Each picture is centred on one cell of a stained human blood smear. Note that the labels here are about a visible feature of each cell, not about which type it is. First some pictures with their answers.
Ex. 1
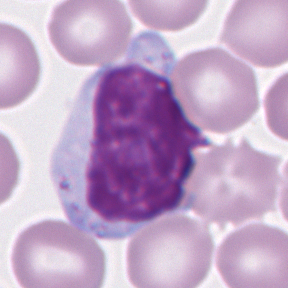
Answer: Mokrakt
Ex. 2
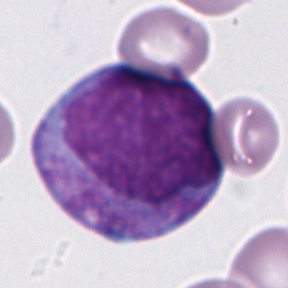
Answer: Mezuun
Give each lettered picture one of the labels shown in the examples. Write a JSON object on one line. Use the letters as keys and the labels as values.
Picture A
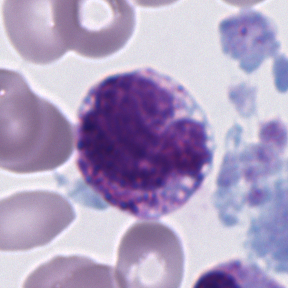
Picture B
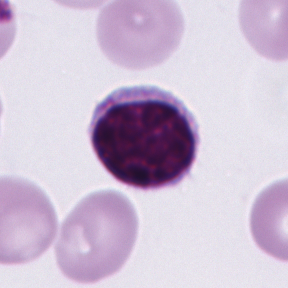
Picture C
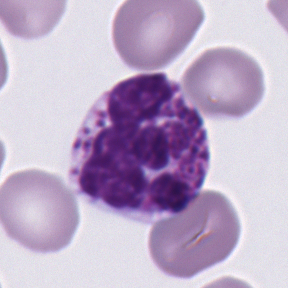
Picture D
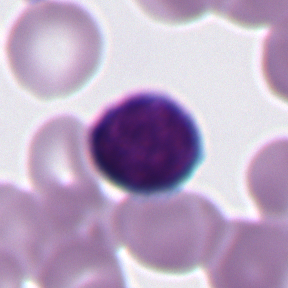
{"A": "Mezuun", "B": "Mezuun", "C": "Mezuun", "D": "Mezuun"}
